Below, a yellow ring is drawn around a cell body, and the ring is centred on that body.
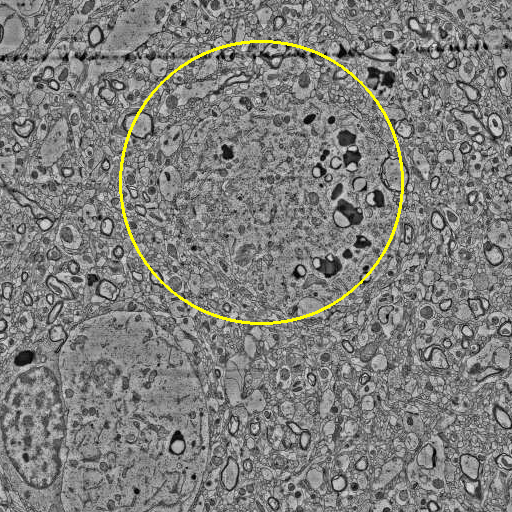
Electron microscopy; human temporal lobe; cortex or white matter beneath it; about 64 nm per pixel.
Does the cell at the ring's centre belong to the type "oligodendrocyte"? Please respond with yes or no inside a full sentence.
Yes, the centred cell inside the ring shown in the picture is of this type.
